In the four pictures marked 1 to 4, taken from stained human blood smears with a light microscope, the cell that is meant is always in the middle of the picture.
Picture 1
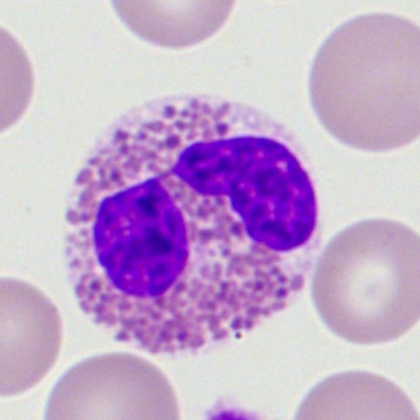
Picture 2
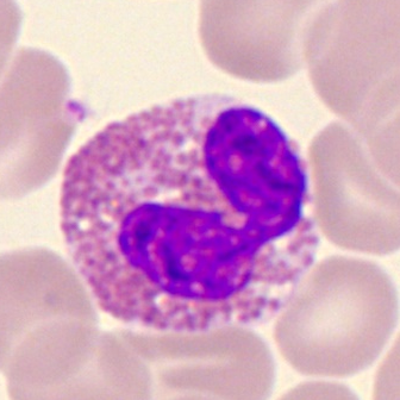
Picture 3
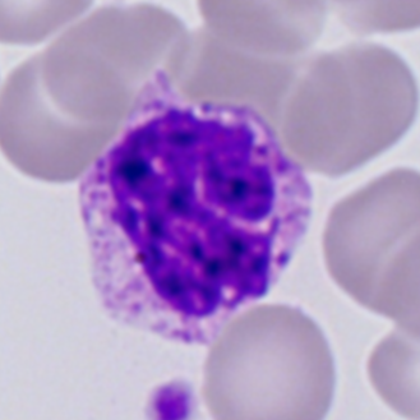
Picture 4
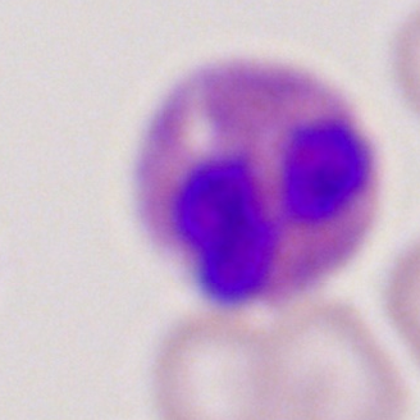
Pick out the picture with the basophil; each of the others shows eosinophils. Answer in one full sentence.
The picture with the basophil is 3.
